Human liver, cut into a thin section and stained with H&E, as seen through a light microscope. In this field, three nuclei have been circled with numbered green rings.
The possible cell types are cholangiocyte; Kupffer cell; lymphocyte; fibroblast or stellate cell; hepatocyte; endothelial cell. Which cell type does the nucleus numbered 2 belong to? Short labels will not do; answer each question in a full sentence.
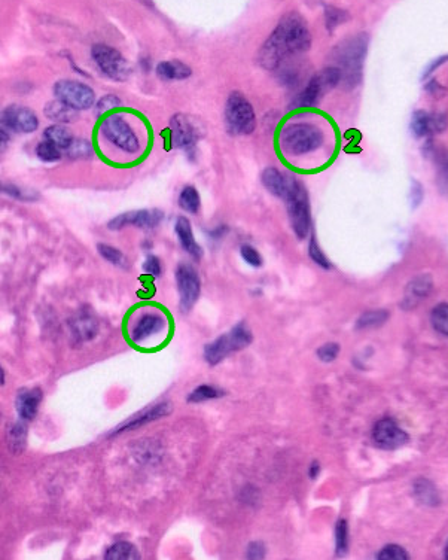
Marked with the number 2, this cell is a fibroblast or stellate cell.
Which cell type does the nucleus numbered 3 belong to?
Heads up, the cell numbered 3 is a fibroblast or stellate cell.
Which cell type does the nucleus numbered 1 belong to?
Looking at the numbered marks, cell 1 is a cholangiocyte.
